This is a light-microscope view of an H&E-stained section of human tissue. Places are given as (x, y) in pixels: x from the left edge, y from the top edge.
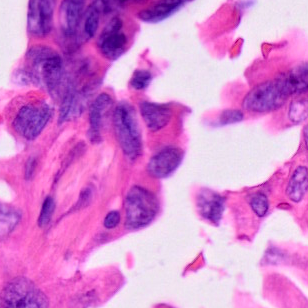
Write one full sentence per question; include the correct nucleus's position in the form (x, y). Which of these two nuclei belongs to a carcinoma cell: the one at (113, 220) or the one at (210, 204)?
The nucleus at (210, 204) is attributed to a carcinoma cell, unlike the other nucleus.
